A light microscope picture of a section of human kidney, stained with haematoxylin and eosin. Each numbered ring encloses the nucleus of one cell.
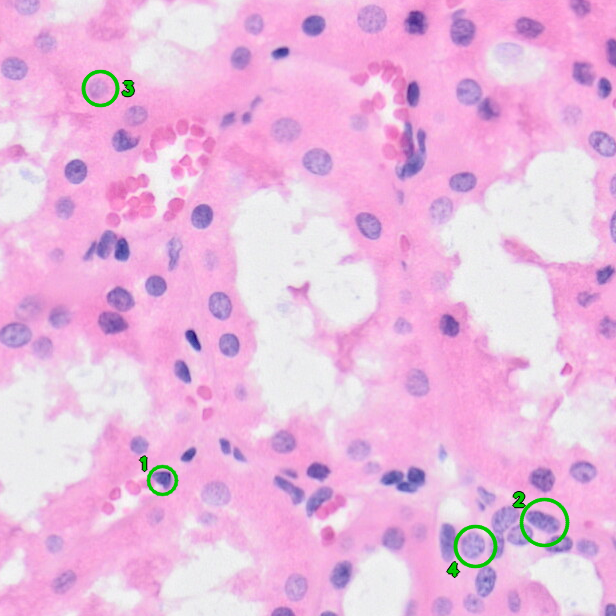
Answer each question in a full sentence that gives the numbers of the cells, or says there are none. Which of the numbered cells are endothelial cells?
Among the numbered cells, cell 1 alone is an endothelial cell.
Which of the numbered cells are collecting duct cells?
The cells whose numbers are 2 and 4 are collecting duct cells.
